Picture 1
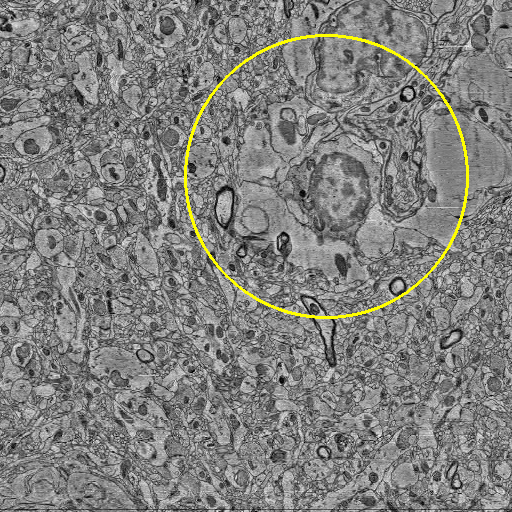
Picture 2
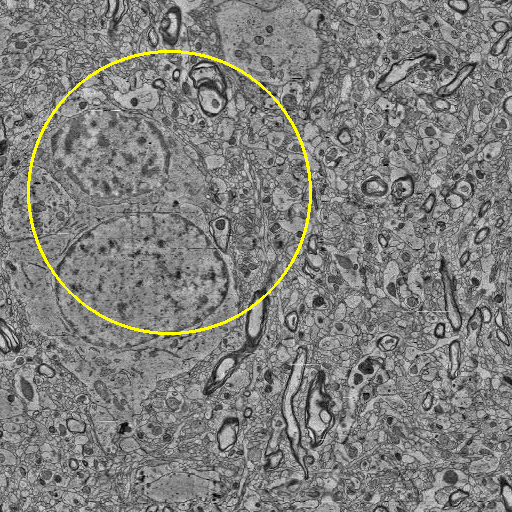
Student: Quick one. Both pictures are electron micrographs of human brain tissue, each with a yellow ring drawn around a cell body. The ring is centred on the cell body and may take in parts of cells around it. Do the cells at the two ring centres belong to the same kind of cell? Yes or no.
yes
